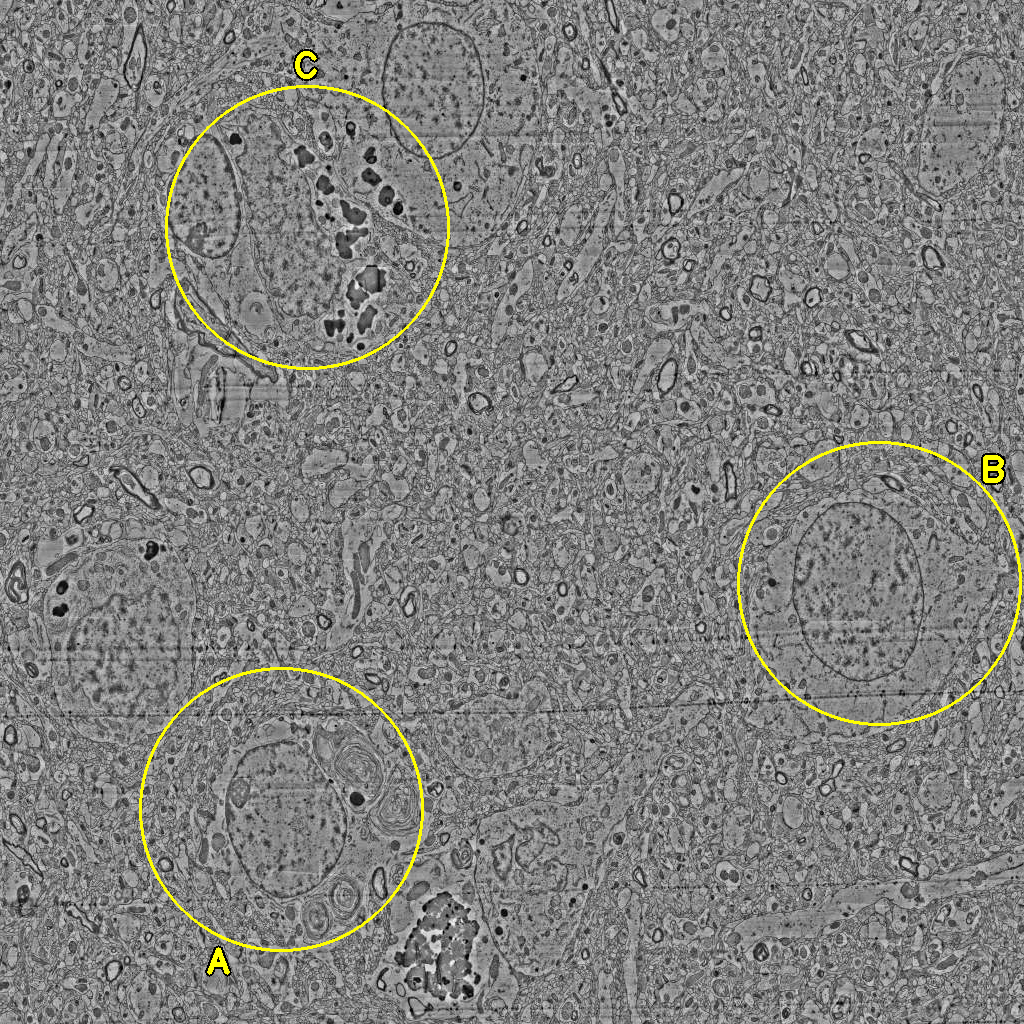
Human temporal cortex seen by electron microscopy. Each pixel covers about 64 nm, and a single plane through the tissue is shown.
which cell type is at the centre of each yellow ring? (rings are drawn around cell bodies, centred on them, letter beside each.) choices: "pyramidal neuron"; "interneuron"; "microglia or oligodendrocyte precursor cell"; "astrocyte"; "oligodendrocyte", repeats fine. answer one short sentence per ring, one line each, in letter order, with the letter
Ring A is an astrocyte.
Ring B is a pyramidal neuron.
Ring C is an interneuron.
